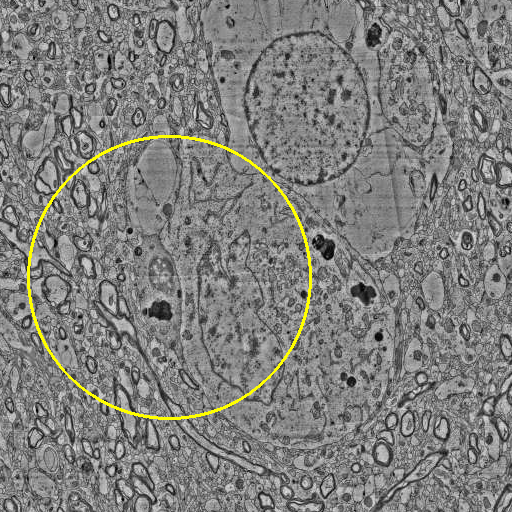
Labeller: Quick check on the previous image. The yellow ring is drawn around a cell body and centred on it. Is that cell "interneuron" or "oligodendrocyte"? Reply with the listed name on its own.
oligodendrocyte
